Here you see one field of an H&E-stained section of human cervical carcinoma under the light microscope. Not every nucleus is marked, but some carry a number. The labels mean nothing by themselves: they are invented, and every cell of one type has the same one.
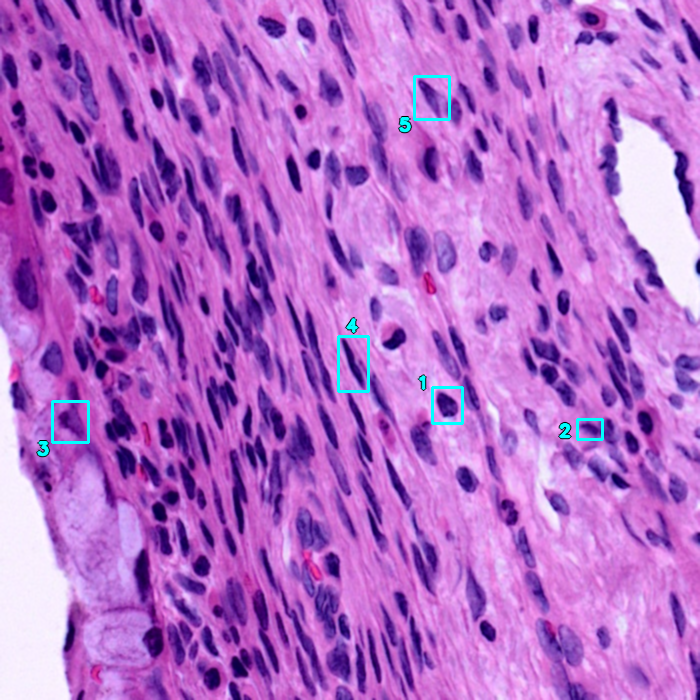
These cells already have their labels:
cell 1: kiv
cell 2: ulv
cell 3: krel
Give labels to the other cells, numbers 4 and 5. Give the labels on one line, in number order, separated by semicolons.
ulv; ulv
